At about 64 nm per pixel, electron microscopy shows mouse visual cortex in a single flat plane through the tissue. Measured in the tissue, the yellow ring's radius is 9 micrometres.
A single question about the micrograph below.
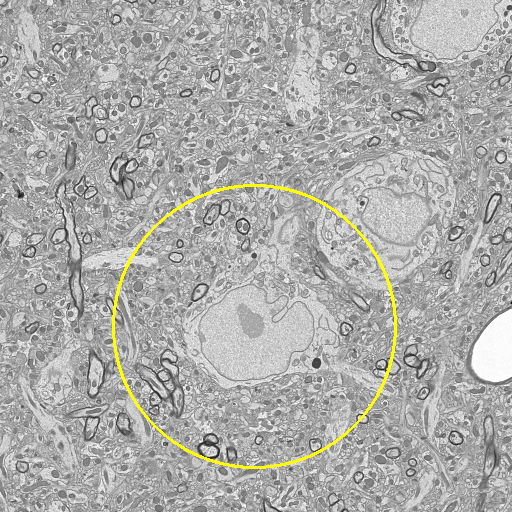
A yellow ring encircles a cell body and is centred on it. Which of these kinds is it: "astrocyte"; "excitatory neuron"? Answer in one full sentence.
The cell body at the centre of the yellow ring belongs to an excitatory neuron.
